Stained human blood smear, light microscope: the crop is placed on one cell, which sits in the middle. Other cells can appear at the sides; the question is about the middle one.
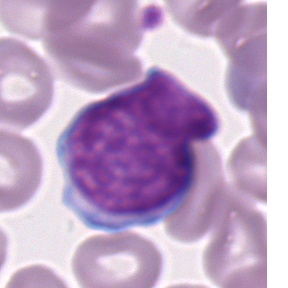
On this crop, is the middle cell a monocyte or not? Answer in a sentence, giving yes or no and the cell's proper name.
No, the centre cell is not a monocyte but a myeloblast.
